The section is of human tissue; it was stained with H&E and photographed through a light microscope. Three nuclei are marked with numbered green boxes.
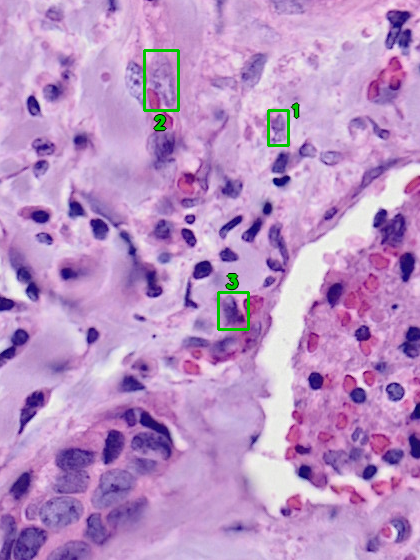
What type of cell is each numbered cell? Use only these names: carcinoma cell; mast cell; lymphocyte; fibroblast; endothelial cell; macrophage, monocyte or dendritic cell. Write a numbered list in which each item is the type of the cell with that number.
1. macrophage, monocyte or dendritic cell
2. endothelial cell
3. endothelial cell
